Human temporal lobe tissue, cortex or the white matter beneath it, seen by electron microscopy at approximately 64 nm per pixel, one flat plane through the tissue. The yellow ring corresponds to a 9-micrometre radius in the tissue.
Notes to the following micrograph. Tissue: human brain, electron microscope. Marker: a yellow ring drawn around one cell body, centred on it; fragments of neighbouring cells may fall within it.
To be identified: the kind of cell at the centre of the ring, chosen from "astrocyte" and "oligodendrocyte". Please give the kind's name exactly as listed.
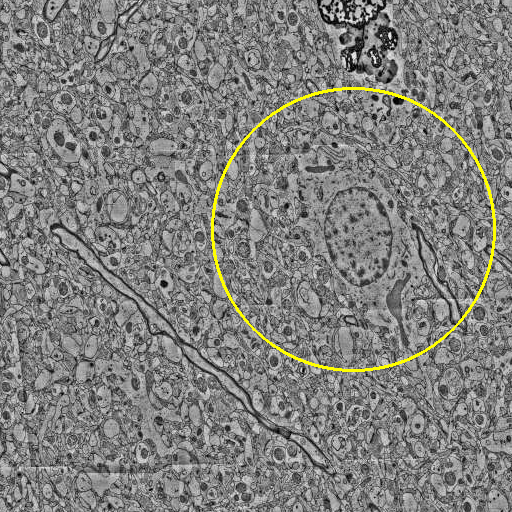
astrocyte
